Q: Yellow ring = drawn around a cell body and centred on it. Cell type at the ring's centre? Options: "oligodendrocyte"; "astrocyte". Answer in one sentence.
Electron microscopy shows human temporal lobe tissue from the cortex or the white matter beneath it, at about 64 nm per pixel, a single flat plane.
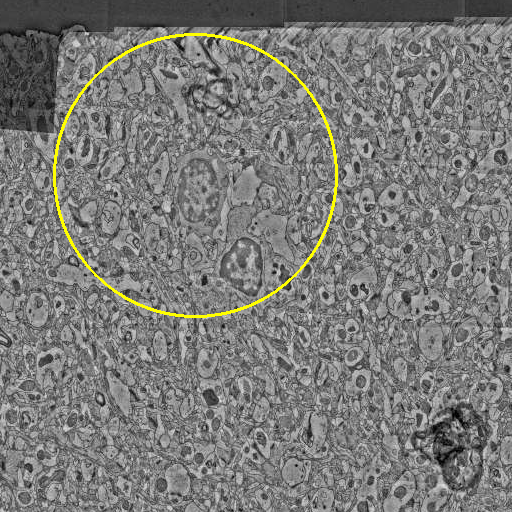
Centred in the ring is an oligodendrocyte.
